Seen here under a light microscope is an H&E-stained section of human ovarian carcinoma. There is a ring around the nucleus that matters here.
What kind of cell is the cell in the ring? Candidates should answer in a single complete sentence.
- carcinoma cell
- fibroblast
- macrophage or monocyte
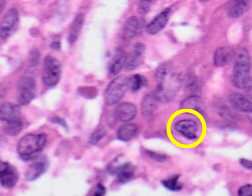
In this preparation, the cell in the ring is a macrophage or monocyte.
